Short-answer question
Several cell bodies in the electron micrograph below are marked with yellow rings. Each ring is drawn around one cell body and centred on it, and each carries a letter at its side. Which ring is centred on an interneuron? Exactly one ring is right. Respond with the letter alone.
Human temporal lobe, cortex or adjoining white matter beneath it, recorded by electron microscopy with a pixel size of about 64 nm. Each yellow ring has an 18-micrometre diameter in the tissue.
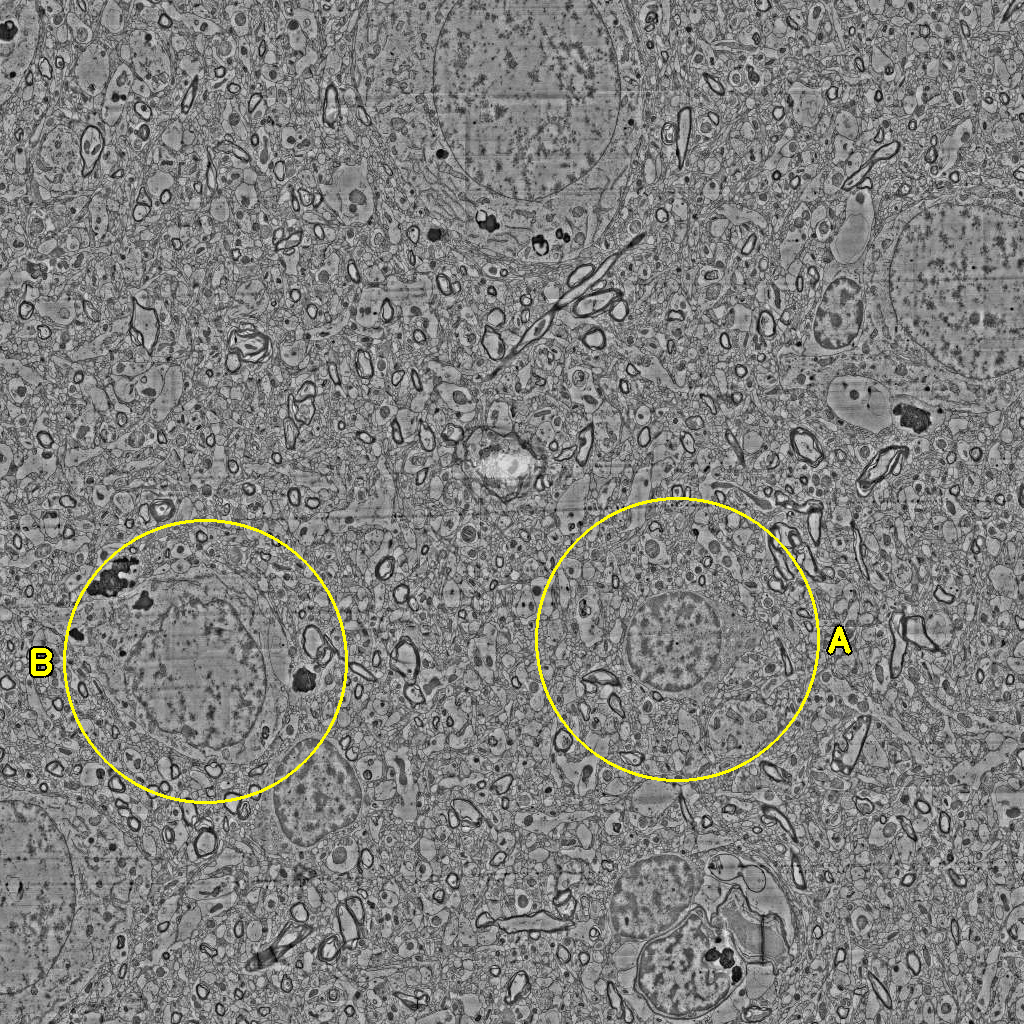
B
